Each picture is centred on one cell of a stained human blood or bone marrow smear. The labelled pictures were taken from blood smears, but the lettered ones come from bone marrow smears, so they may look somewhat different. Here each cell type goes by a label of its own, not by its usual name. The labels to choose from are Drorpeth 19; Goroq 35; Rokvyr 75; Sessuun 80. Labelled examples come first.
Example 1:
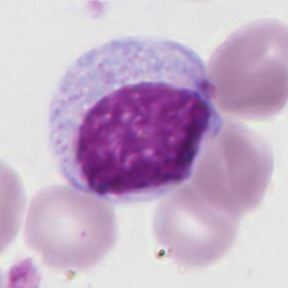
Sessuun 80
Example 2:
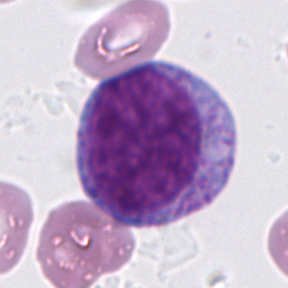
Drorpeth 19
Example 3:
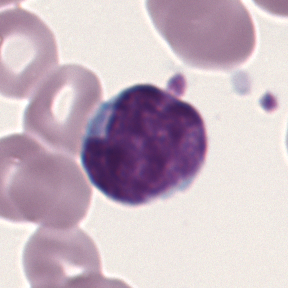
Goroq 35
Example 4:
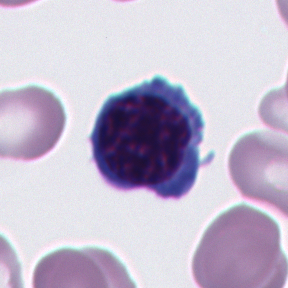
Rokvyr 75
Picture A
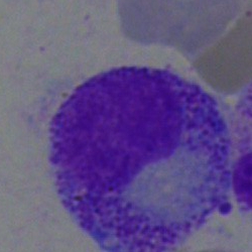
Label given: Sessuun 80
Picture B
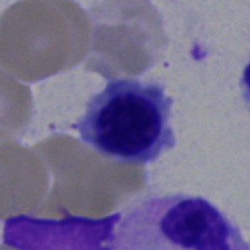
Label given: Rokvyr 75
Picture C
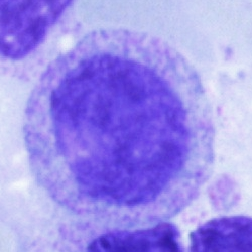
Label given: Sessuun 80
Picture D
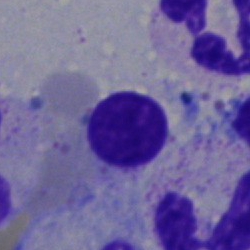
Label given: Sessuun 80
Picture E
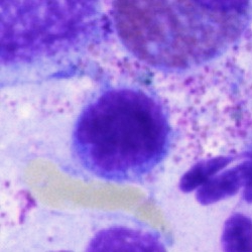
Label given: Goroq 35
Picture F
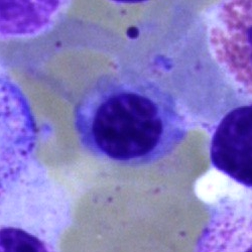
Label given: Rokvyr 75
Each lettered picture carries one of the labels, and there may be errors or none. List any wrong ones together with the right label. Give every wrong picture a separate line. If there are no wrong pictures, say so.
D: Goroq 35, not Sessuun 80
